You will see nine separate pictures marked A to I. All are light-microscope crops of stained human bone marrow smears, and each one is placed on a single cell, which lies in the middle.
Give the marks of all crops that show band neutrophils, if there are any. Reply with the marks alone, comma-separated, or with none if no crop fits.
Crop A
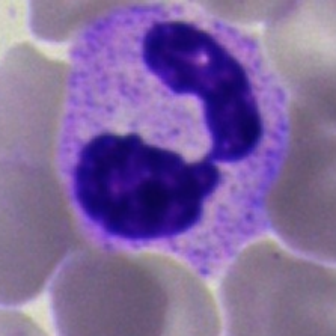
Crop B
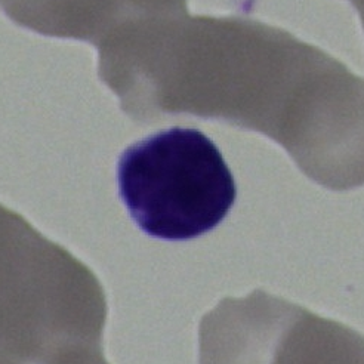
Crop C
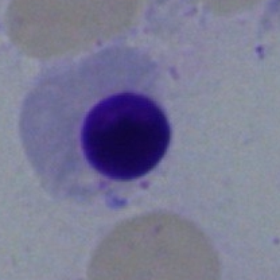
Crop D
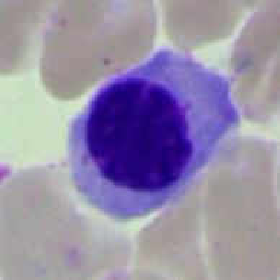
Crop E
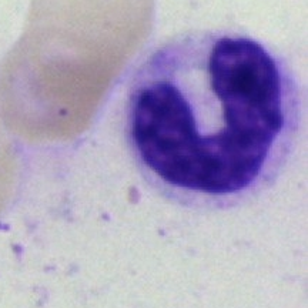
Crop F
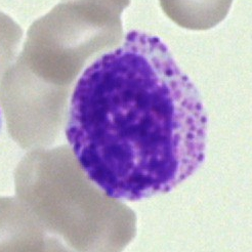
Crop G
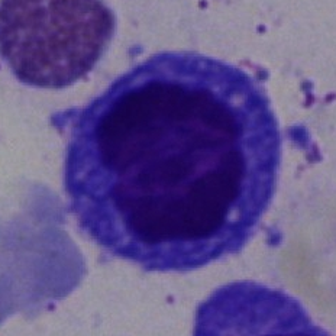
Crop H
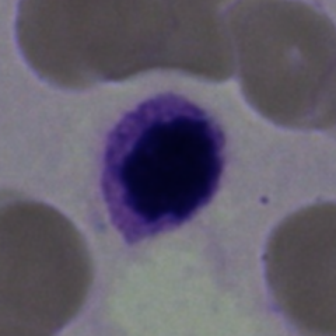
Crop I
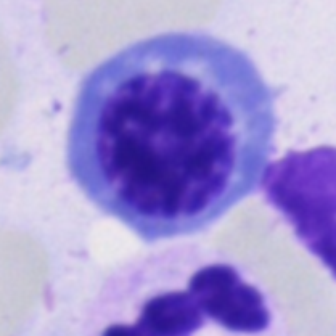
E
